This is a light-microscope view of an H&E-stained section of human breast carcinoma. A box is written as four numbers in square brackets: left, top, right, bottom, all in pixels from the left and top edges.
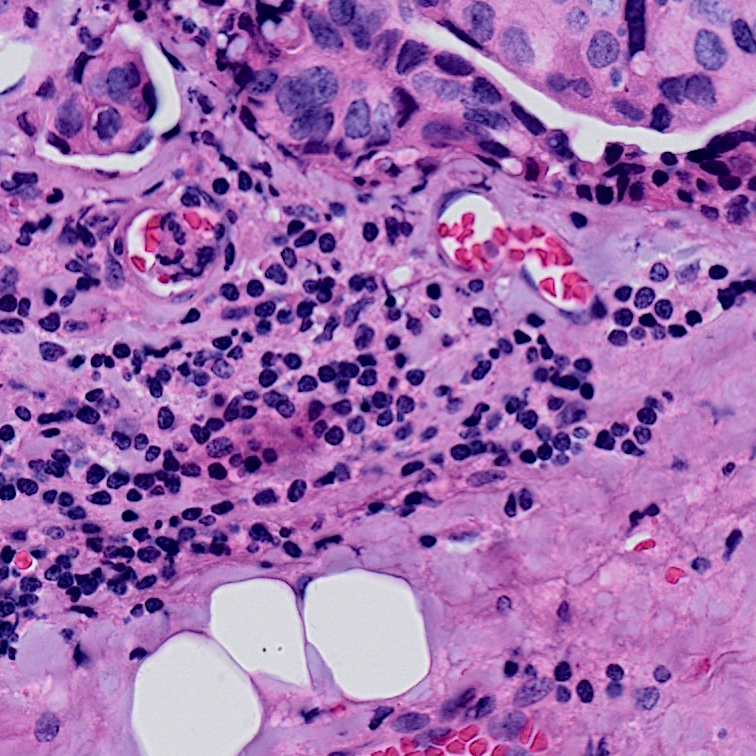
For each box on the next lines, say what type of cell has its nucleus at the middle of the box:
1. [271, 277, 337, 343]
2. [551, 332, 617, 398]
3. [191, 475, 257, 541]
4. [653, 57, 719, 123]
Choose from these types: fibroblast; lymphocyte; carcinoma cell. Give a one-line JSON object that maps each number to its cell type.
{"1": "lymphocyte", "2": "lymphocyte", "3": "lymphocyte", "4": "carcinoma cell"}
